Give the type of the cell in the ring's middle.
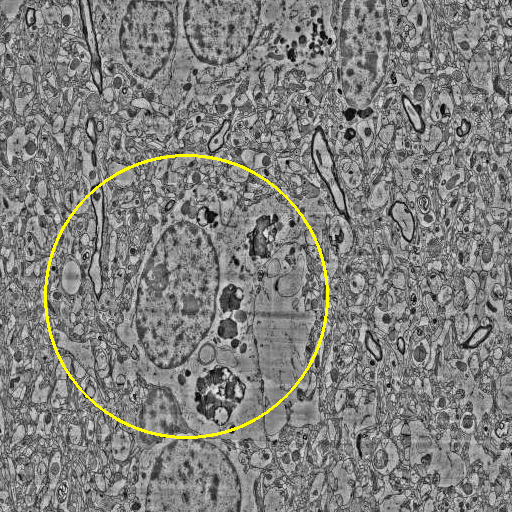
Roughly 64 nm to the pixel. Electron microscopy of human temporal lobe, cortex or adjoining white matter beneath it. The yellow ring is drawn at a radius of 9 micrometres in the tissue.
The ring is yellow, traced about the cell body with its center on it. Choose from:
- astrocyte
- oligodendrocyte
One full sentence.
Here, an astrocyte is the cell lying at the center of the yellow ring.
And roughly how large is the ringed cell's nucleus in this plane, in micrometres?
In this plane, approximately 9 by 5 micrometers, and clearly longer than it is wide.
